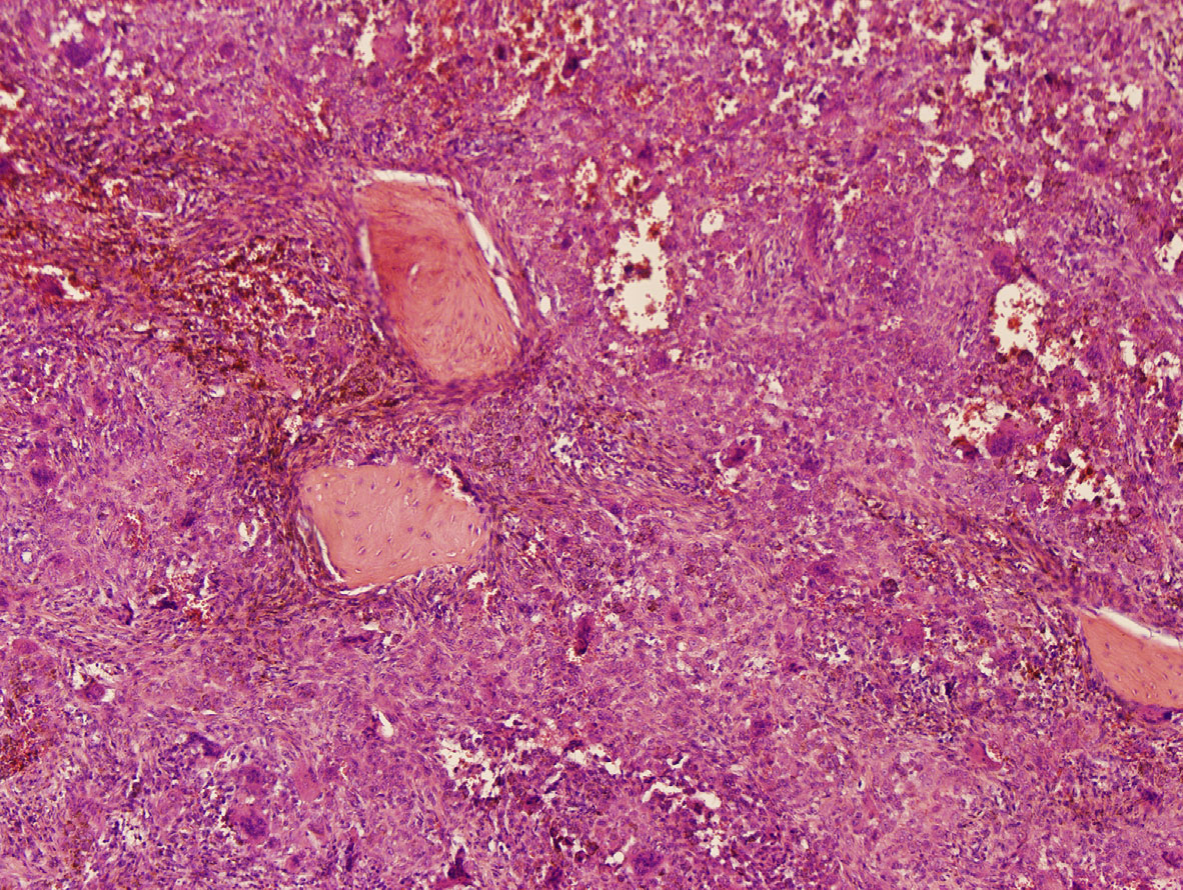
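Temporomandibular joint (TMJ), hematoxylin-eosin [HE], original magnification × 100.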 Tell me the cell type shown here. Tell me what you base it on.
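Osteoclast-like giant cells. Large, dark purple cells stand out scattered among smaller cells. These large cells have several nuclei packed close together. They are spread unevenly across the field.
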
